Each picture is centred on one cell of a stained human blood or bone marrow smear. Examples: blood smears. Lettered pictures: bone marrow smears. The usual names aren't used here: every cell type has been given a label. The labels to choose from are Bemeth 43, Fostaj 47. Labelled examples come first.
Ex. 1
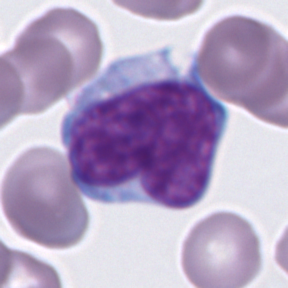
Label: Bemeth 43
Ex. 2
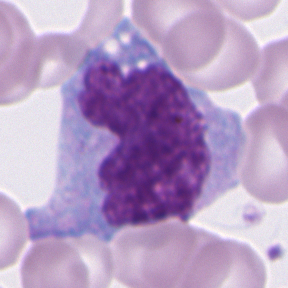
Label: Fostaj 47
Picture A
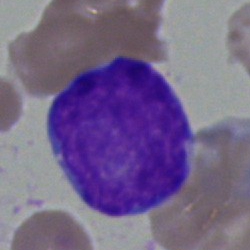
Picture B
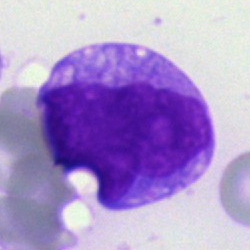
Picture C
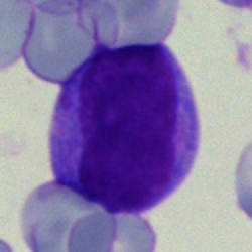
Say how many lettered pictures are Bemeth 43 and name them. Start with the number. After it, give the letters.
Count: 3 (A, B, C)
